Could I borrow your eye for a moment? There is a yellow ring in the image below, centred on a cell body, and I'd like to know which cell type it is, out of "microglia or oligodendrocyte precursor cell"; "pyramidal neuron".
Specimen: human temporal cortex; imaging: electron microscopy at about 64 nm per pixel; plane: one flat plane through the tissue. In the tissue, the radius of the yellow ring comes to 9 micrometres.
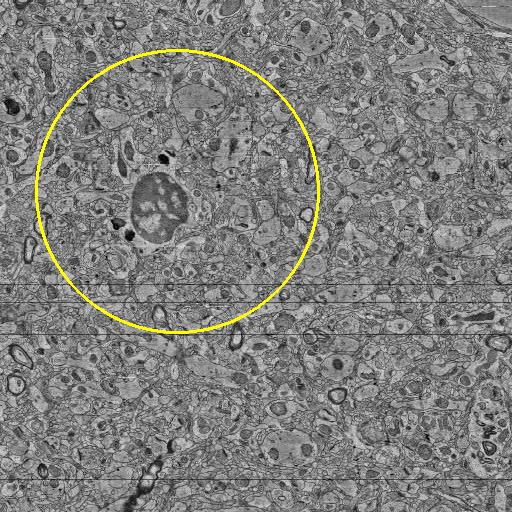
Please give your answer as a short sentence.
The cell body at the centre is that of a microglial cell or oligodendrocyte precursor cell.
